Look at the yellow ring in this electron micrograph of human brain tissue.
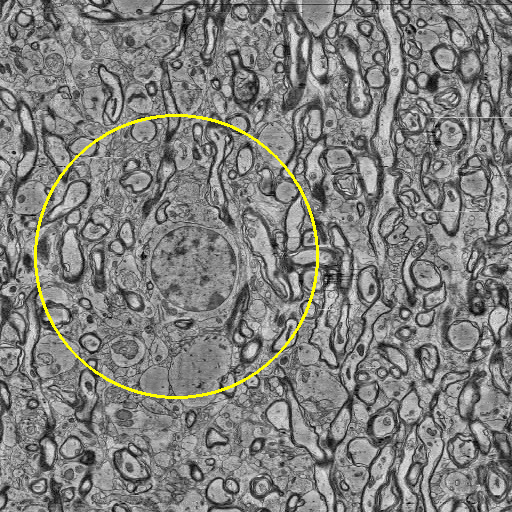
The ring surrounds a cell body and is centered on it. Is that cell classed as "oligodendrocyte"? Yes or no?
No, it is of another kind.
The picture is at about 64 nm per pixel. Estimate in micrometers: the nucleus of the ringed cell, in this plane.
The nucleus comes to roughly 6 micrometres across in this plane.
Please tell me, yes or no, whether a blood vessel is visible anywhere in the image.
No, there is no blood vessel.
